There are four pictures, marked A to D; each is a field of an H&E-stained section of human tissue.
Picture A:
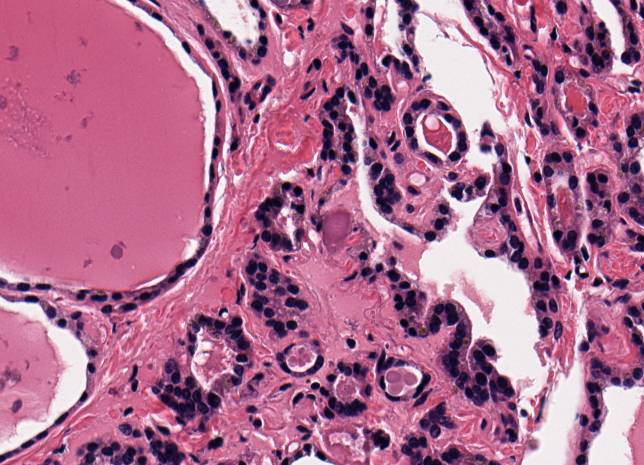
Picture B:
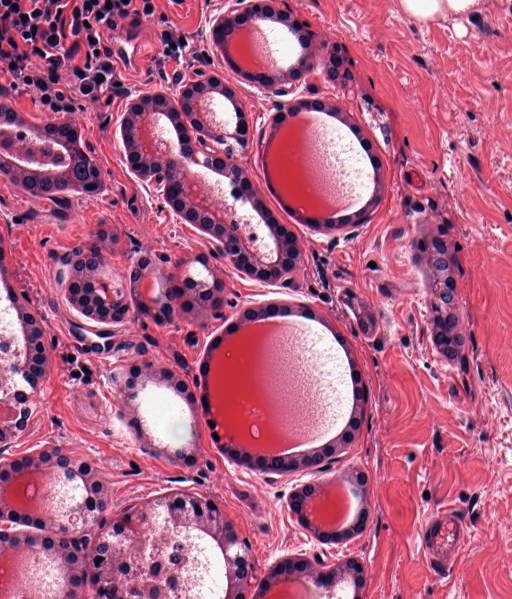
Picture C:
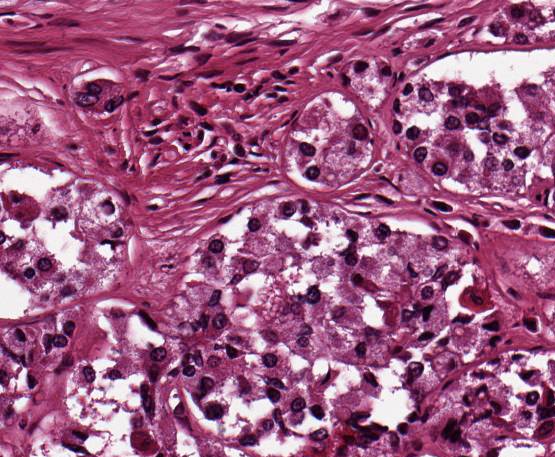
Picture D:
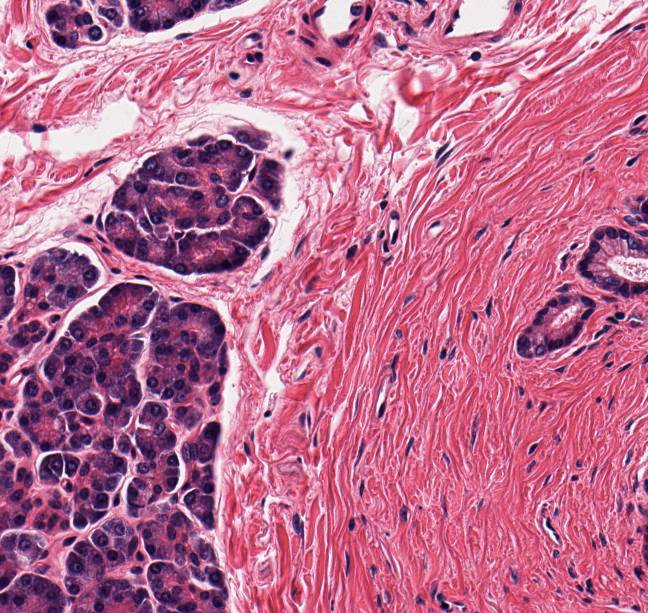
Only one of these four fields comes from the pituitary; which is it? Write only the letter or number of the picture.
C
